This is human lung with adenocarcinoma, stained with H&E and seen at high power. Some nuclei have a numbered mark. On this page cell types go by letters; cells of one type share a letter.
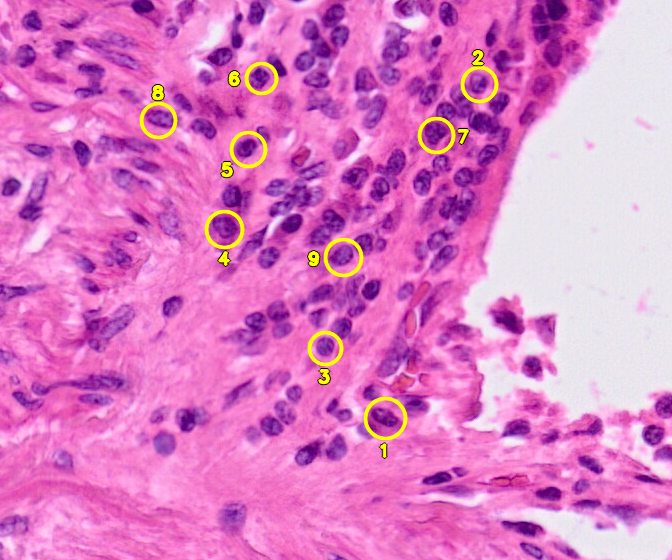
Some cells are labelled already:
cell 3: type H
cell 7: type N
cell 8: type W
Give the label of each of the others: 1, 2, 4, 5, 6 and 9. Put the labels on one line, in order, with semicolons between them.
type N; type H; type N; type N; type H; type H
